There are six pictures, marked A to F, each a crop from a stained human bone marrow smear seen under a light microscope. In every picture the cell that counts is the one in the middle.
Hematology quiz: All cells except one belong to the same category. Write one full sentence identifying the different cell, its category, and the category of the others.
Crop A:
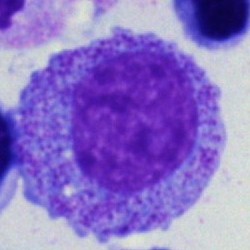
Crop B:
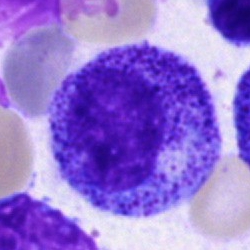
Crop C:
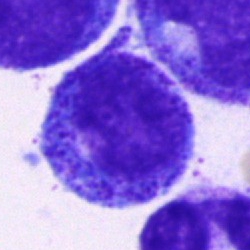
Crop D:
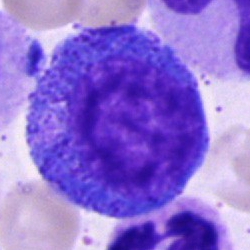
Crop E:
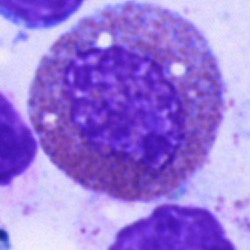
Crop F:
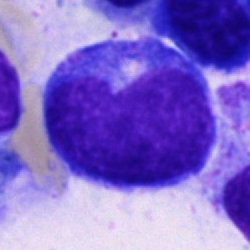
Crop E is the one to flag: it is an eosinophil, and the rest show promyelocytes.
